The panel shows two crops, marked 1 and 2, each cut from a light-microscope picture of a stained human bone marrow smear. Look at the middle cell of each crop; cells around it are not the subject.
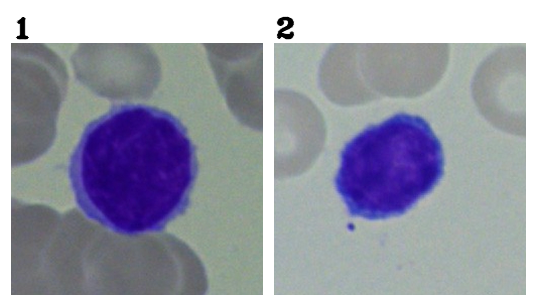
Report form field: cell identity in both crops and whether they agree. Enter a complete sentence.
Yes, put down lymphocytes for both crops.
